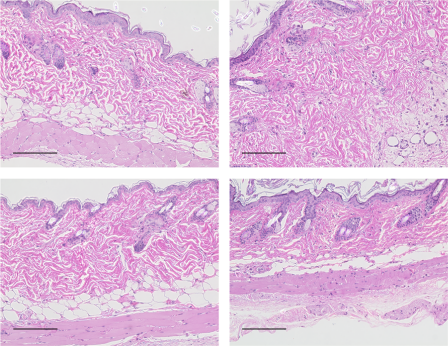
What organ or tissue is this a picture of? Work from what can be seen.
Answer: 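Skin. A thin epidermis lines the top surface. Hair follicles lie within a thick pink fibrous layer. Muscle fibres run along the deep edge.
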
